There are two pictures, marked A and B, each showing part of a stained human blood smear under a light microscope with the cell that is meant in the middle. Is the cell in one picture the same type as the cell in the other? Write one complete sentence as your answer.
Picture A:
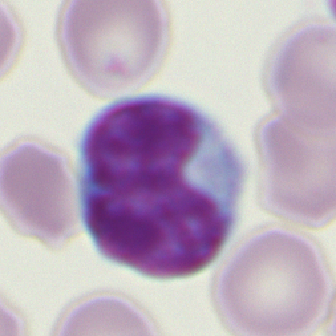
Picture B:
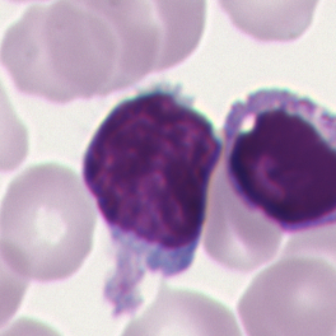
Yes, the two pictures both show typical lymphocytes.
